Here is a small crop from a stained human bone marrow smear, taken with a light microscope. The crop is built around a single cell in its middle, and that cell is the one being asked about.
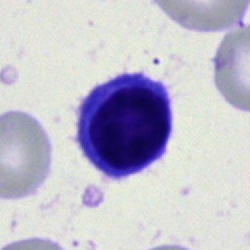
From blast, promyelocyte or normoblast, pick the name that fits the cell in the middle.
normoblast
